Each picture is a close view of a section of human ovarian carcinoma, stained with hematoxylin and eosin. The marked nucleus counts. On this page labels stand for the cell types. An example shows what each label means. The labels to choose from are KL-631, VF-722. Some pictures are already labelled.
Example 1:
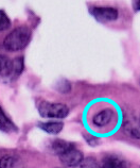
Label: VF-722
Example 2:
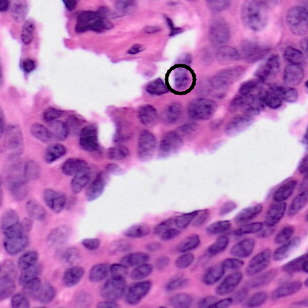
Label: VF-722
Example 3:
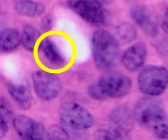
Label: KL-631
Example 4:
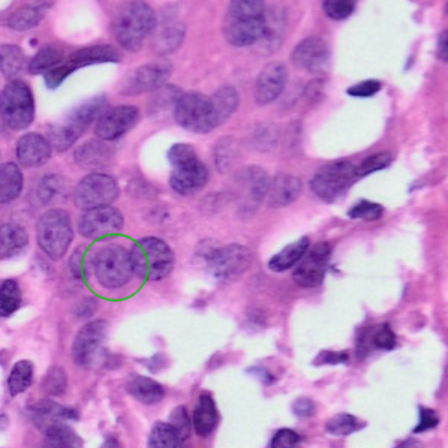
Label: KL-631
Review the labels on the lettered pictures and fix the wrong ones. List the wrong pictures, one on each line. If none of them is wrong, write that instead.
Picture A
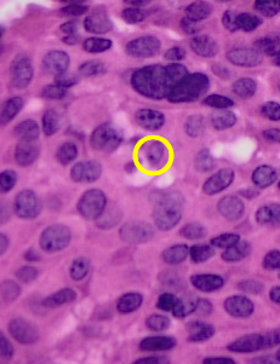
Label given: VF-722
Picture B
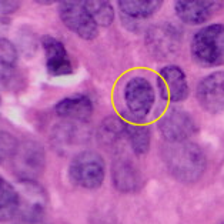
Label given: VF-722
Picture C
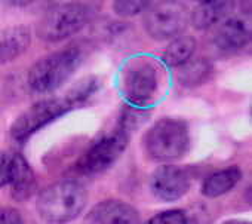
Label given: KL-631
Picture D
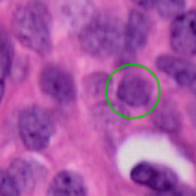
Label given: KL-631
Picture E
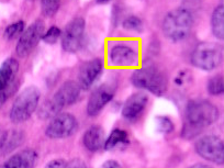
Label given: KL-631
E: VF-722, not KL-631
